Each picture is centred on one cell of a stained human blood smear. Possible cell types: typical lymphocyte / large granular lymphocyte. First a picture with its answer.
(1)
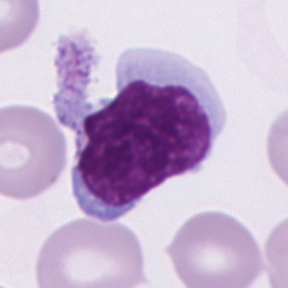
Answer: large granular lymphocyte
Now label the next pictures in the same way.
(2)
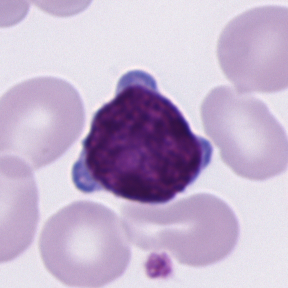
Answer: typical lymphocyte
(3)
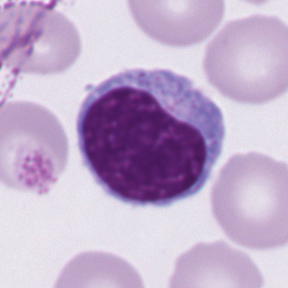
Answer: typical lymphocyte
